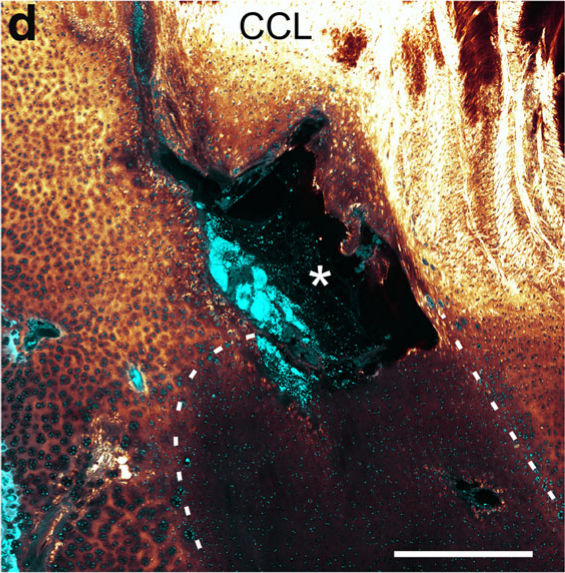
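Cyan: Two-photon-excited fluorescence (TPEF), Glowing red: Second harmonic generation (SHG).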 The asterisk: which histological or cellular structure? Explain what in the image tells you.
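The asterisk lies in a wide dark cavity within the cartilage. The cavity holds loose cyan material rather than organised tissue.
Necrotic and dilated cartilage canal.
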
